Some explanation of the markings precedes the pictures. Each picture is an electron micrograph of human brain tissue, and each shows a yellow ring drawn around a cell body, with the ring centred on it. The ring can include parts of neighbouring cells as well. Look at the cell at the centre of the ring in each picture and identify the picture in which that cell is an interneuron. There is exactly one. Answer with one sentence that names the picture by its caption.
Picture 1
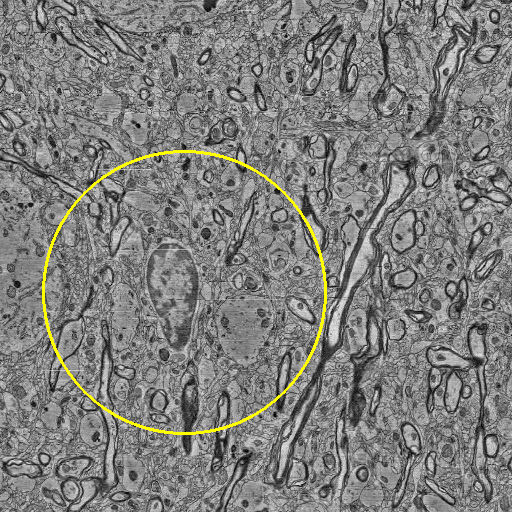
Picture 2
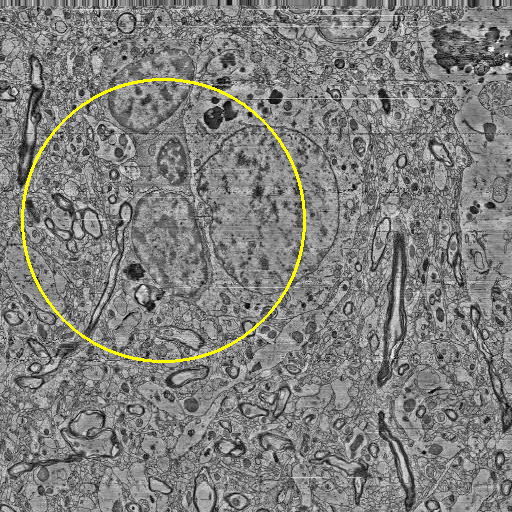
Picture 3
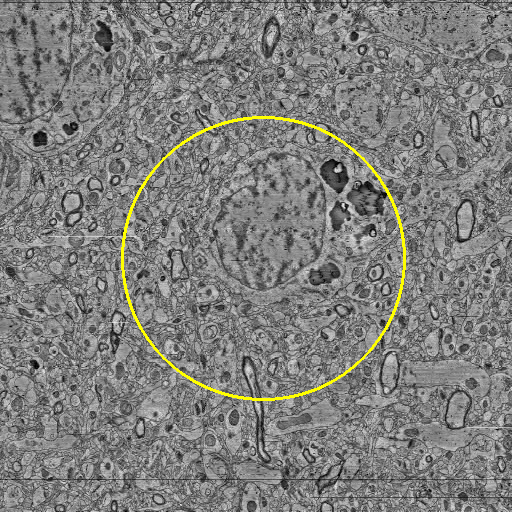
In Picture 3, the cell at the centre of the ring is of that kind.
